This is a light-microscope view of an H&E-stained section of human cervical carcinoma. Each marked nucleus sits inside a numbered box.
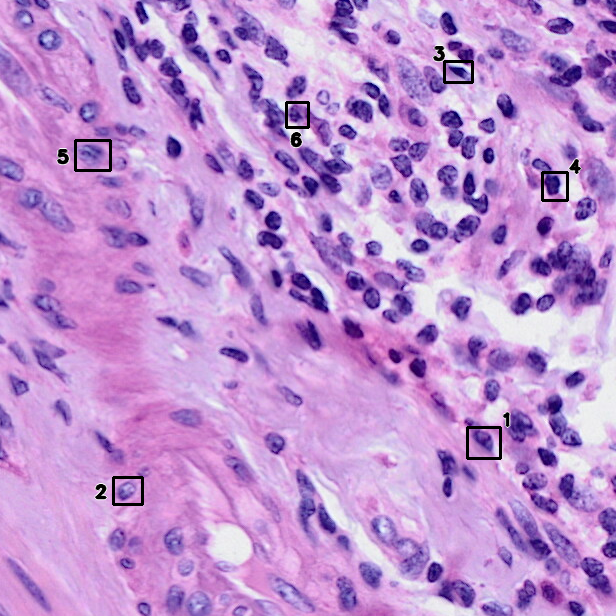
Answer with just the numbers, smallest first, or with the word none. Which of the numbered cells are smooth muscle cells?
2, 5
